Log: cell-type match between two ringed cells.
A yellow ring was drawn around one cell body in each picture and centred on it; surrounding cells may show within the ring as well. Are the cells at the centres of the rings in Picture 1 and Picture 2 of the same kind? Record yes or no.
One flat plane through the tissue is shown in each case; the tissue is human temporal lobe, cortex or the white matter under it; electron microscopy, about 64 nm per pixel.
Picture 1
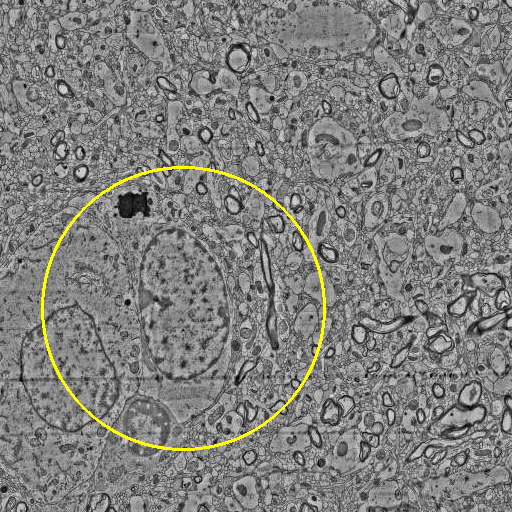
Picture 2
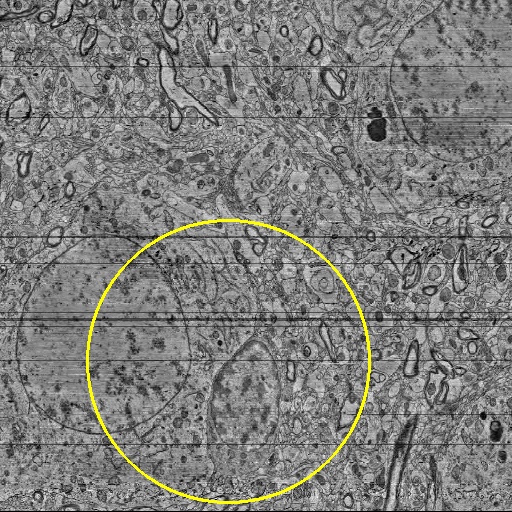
no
